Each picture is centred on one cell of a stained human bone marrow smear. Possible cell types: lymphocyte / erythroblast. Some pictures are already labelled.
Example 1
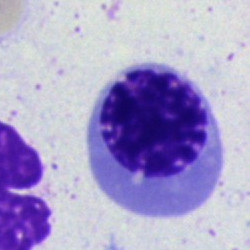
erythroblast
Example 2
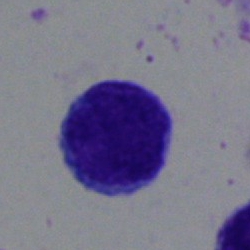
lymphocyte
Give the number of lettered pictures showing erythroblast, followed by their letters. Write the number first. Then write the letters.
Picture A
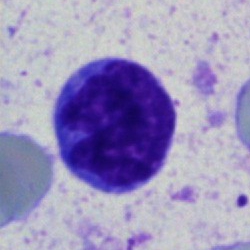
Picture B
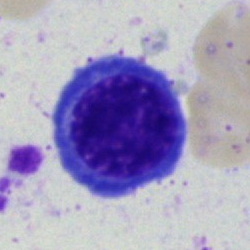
1: B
